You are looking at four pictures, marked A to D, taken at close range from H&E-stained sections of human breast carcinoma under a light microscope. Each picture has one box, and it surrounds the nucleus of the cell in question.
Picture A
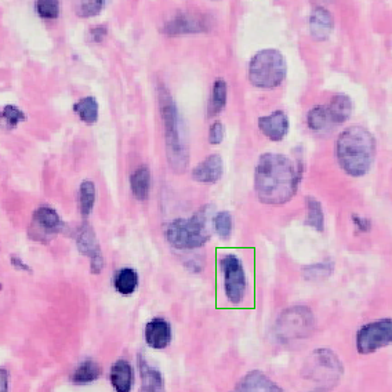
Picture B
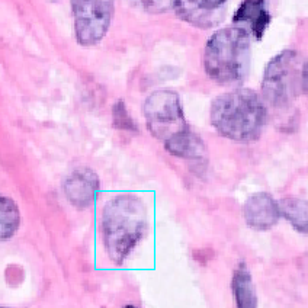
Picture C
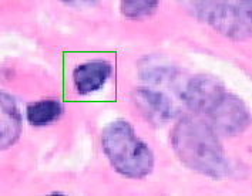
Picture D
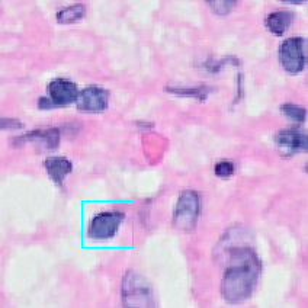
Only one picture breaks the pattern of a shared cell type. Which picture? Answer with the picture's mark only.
B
